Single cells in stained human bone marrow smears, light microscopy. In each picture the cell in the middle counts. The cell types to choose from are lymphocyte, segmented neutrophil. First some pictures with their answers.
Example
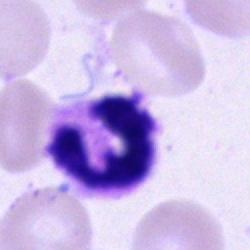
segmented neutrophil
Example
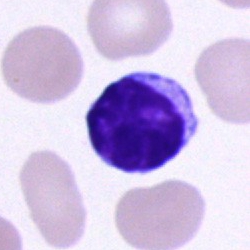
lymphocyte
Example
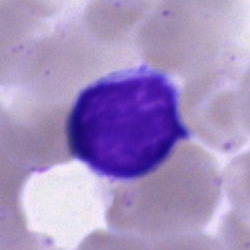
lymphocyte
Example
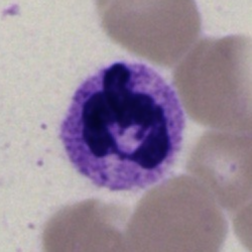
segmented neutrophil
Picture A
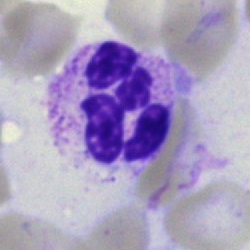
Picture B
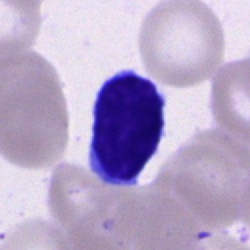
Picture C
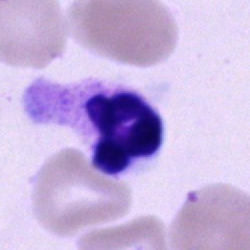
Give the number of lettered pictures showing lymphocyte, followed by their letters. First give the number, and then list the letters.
Count: 1 (B)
